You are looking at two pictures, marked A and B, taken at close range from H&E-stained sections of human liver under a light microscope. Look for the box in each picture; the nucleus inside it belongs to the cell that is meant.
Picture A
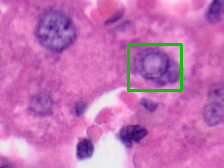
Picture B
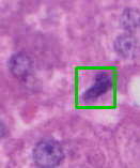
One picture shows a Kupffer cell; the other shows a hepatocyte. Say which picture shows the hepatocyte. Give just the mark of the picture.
A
